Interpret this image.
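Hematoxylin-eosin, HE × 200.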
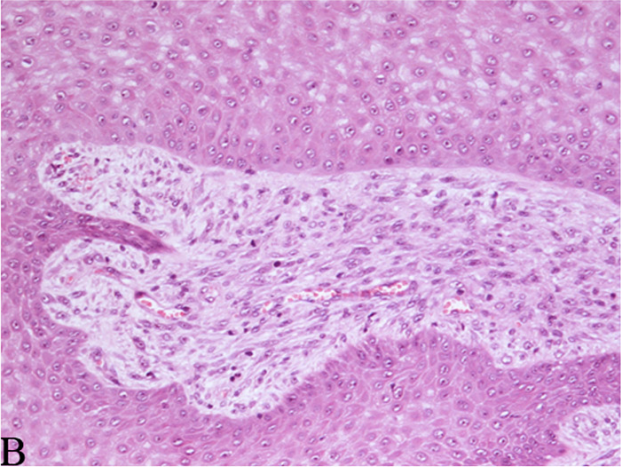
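A fibrovascular core lies within thick squamous epithelium, its stroma crowded with spindle cells. The epithelial cells around the core are polygonal with pink cytoplasm and round nuclei, arranged in a regular mosaic. The core is pale and loose, with elongated spindle-shaped nuclei running along its length. Small blood vessels containing red blood cells pass through the core. The border between epithelium and core is sharp.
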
